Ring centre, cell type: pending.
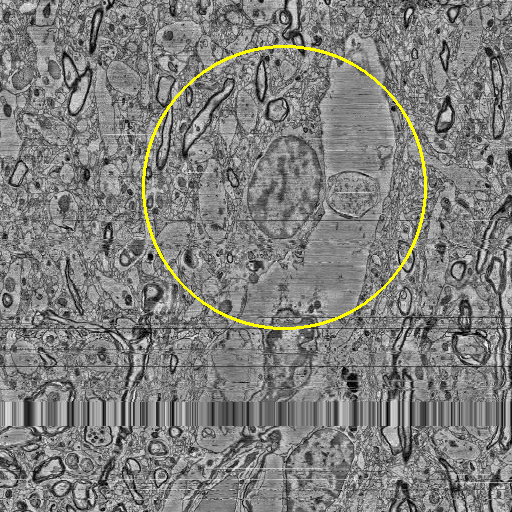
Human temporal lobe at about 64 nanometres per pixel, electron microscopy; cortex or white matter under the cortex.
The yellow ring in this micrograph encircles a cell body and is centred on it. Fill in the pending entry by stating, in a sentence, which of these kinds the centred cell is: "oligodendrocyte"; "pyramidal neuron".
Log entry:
The centred cell is recorded as an oligodendrocyte.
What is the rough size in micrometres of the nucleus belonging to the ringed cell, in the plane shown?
In this plane the nucleus spans approximately 7 by 5 micrometers.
